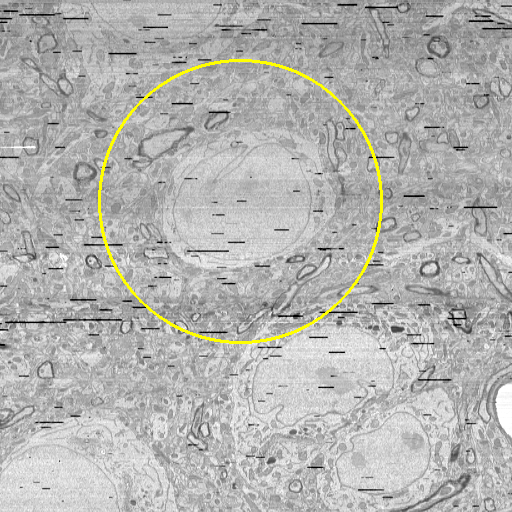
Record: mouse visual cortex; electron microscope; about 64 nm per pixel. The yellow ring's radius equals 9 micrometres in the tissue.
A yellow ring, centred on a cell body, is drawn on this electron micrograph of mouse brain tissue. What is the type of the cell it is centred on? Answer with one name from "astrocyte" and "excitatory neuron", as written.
excitatory neuron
